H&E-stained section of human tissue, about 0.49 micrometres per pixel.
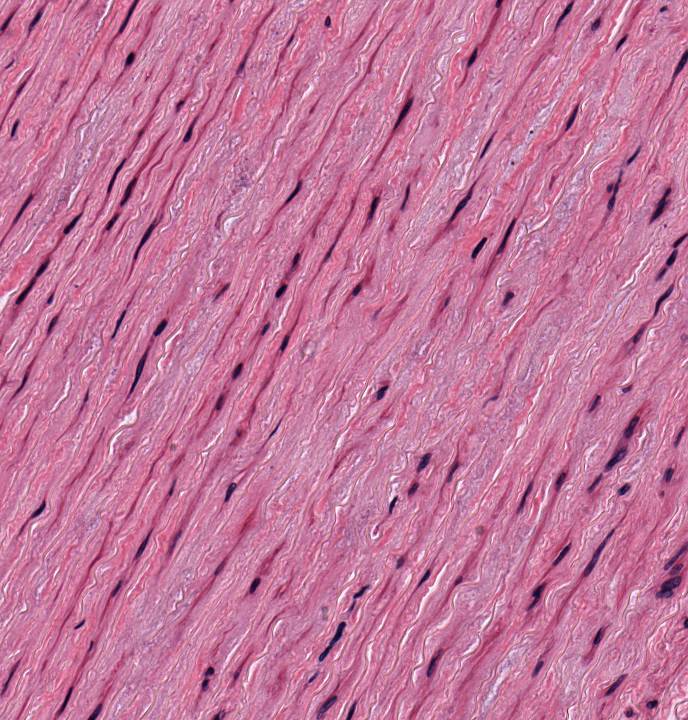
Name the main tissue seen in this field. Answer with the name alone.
tunica media of an artery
